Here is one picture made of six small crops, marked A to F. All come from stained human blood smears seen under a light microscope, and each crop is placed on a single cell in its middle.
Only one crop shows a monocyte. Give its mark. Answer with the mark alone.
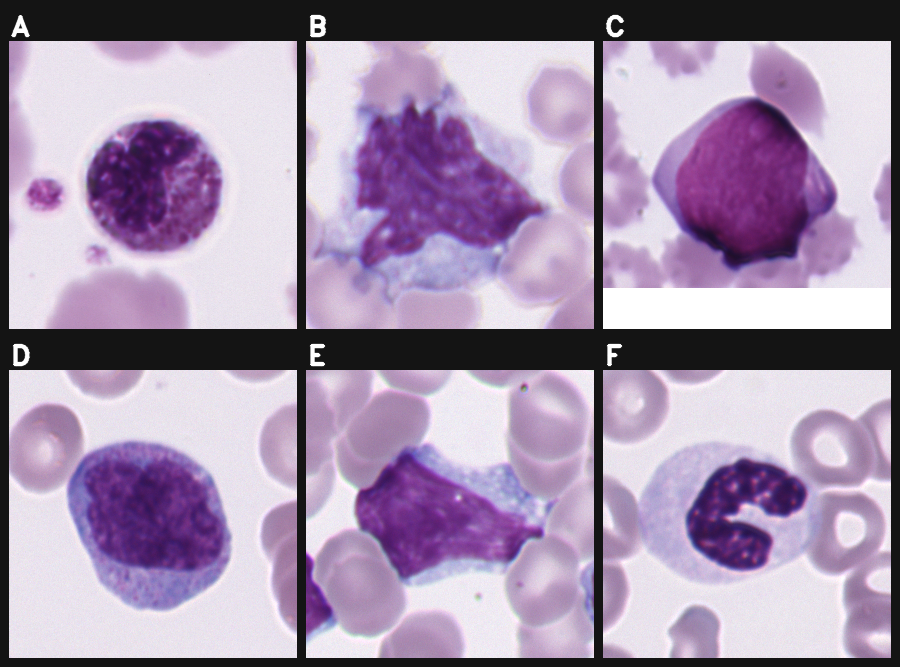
B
